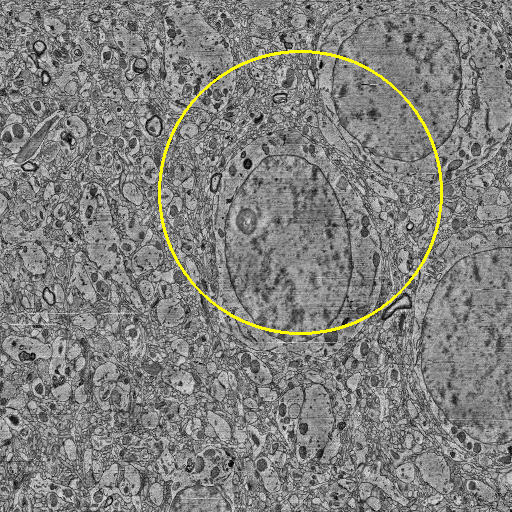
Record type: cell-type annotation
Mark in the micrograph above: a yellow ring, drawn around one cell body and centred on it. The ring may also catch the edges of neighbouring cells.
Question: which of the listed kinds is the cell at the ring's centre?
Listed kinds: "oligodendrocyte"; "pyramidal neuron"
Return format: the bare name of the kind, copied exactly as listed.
pyramidal neuron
